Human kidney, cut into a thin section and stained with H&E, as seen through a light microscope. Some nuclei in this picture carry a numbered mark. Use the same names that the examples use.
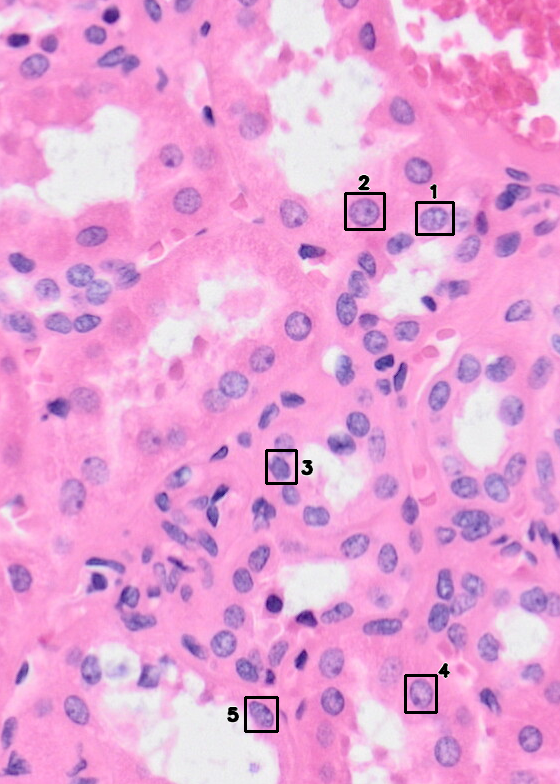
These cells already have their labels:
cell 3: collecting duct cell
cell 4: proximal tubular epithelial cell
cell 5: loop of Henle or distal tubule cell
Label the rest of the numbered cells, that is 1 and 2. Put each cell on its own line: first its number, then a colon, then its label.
1: collecting duct cell
2: proximal tubular epithelial cell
